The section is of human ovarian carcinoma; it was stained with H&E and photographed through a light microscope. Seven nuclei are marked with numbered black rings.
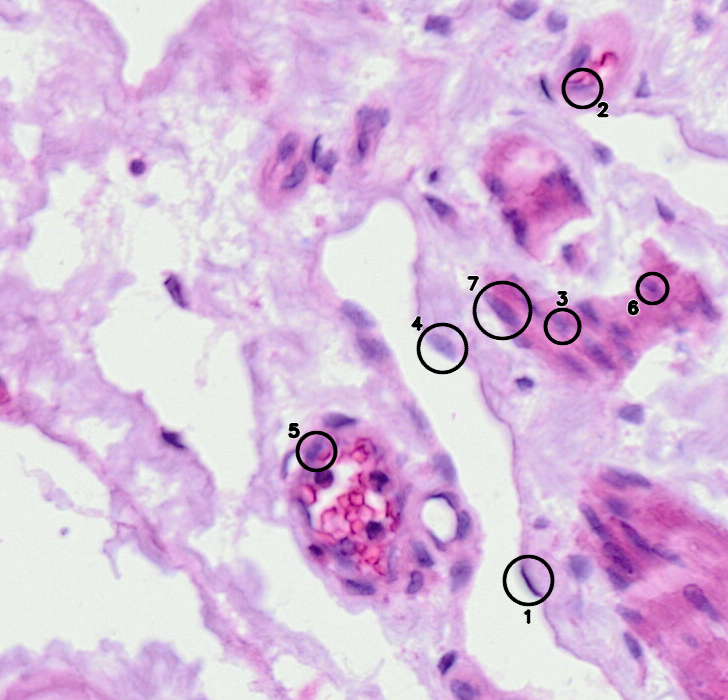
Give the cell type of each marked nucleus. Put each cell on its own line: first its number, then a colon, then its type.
1: endothelial cell
2: endothelial cell
3: smooth muscle cell
4: endothelial cell
5: endothelial cell
6: smooth muscle cell
7: smooth muscle cell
